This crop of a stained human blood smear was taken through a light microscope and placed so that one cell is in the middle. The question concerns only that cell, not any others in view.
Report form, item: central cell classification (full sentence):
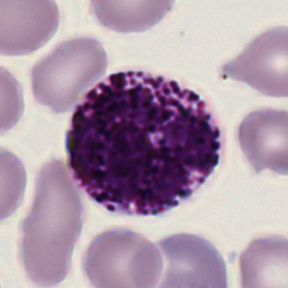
What sits at the centre of this crop is a basophil.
